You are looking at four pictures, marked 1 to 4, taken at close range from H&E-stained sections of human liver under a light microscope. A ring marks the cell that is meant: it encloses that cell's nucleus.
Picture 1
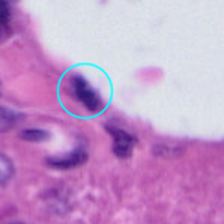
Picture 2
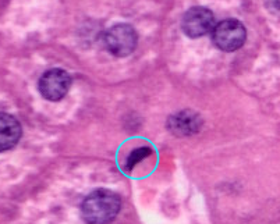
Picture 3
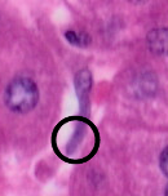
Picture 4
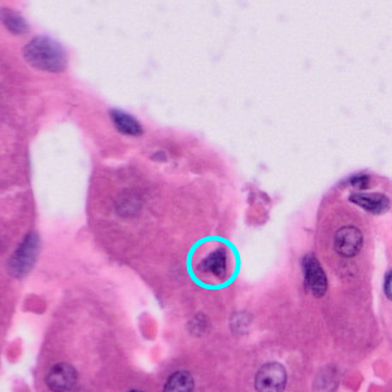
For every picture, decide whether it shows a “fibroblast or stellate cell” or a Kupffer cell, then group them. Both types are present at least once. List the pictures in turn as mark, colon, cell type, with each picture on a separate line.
1: fibroblast or stellate cell
2: fibroblast or stellate cell
3: Kupffer cell
4: fibroblast or stellate cell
